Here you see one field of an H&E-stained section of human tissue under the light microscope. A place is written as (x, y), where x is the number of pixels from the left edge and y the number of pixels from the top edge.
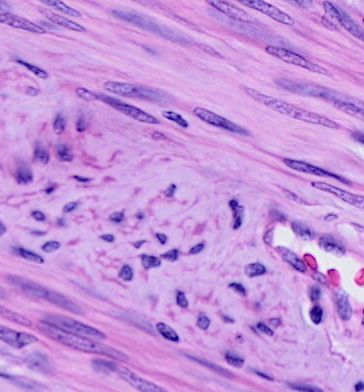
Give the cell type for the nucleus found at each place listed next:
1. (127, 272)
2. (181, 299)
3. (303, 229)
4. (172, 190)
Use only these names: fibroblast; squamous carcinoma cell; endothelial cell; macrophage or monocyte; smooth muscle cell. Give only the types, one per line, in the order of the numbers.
smooth muscle cell
smooth muscle cell
endothelial cell
smooth muscle cell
